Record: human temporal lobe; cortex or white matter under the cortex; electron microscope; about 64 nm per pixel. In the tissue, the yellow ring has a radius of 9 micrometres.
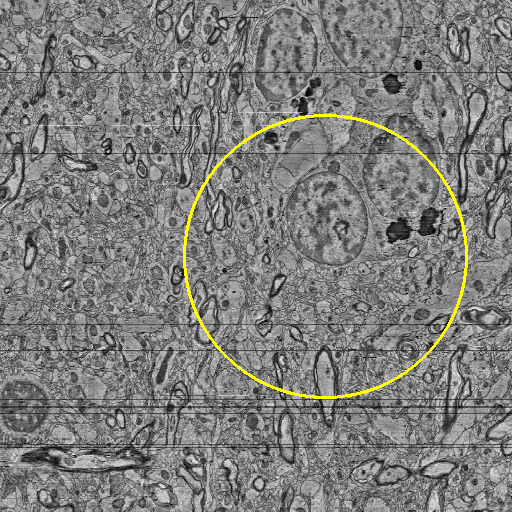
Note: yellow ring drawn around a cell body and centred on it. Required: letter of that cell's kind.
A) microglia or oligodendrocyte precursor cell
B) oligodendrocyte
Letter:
B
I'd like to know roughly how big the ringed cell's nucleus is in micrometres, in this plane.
In this plane the nucleus is about 6 micrometres across.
